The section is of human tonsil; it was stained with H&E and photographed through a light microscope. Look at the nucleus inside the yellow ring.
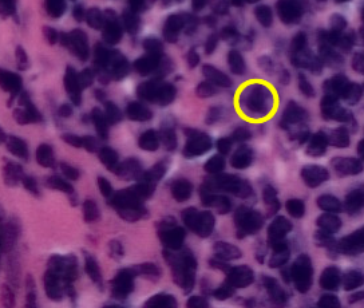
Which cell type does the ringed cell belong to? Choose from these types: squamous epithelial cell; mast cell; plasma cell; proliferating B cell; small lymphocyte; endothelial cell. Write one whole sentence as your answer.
This is an endothelial cell.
